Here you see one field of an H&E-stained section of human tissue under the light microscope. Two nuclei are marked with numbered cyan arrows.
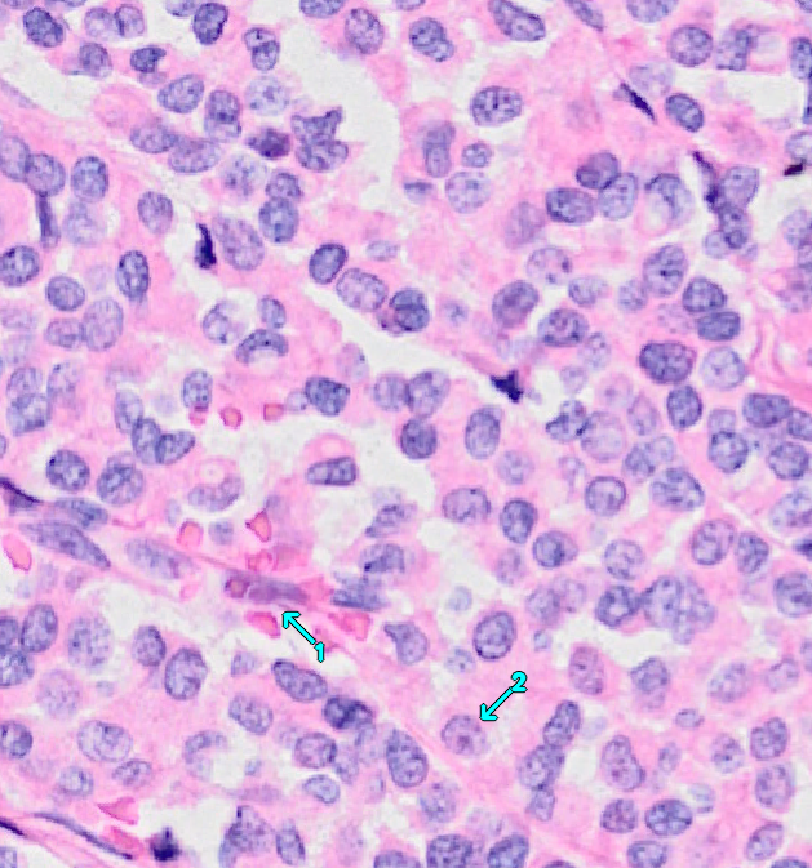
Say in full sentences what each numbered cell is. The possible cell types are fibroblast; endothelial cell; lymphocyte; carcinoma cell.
Cell 1 is an endothelial cell and cell 2 is a carcinoma cell.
